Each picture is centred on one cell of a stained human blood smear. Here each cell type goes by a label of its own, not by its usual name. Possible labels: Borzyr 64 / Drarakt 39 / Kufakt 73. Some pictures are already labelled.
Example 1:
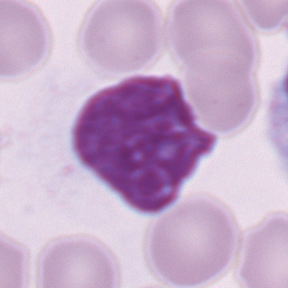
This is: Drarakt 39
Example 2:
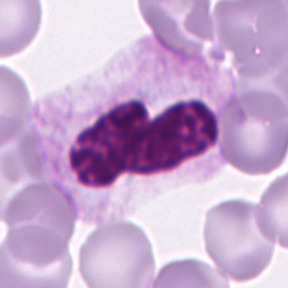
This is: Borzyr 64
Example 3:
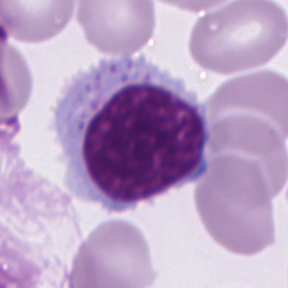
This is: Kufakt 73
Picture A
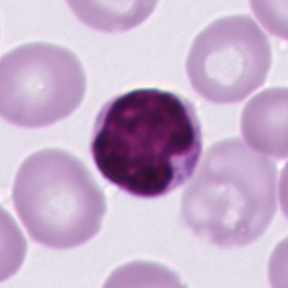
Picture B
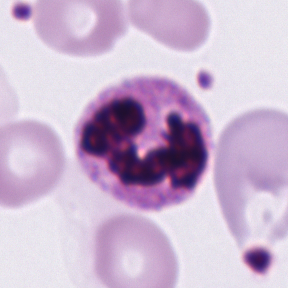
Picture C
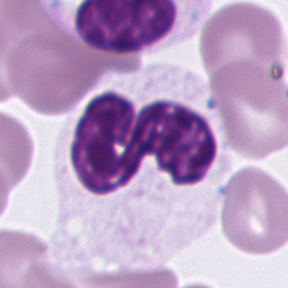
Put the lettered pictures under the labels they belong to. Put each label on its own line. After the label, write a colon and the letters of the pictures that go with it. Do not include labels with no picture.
Borzyr 64: B, C
Kufakt 73: A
